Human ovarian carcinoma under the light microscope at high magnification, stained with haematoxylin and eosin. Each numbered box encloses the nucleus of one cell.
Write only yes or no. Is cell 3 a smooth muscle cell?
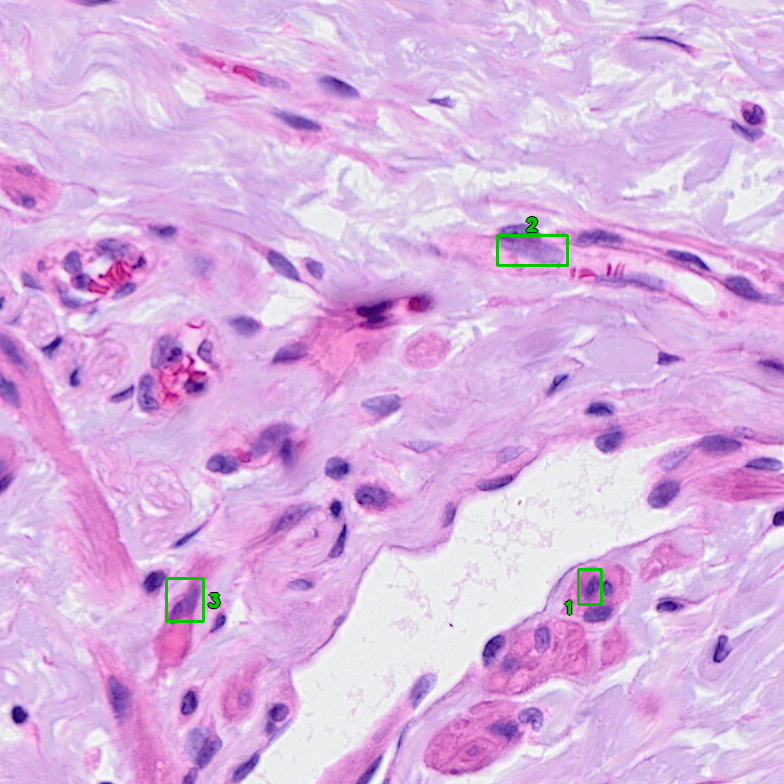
yes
